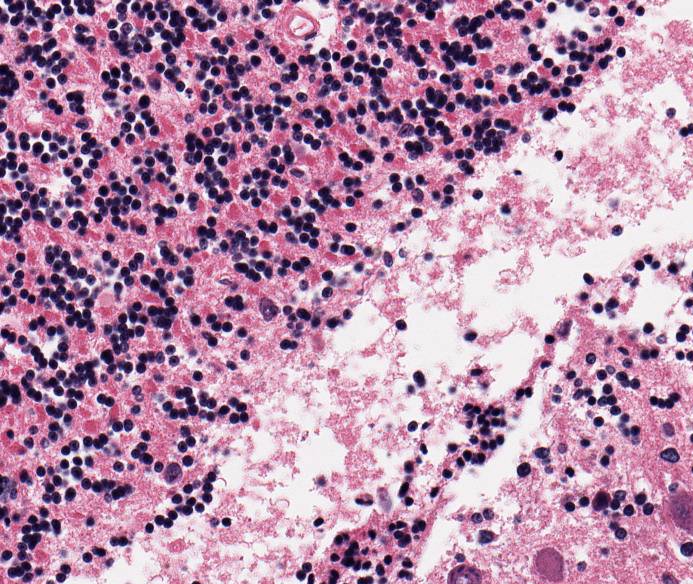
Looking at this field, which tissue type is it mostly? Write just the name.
granular layer of the cerebellum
